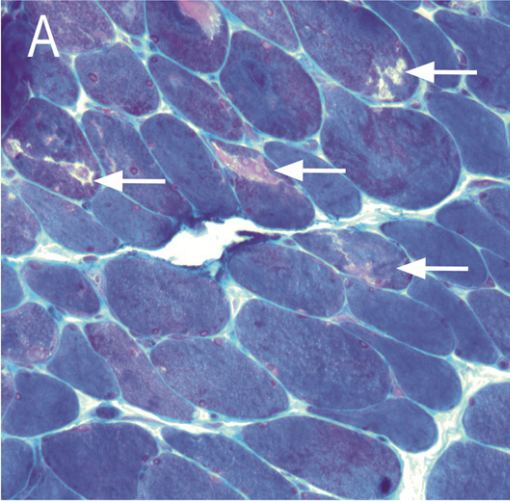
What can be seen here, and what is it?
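Skeletal muscle in cross section; polygonal to oval muscle fibres of varied size packed in a fascicle, separated by thin pale blue-green endomysium. Nuclei are small and lie at the fibre edges. Fibre cytoplasm stains a fairly even blue-purple. Several fibres carry pale, irregular clear areas within their cytoplasm, punched-out vacuoles, some with faint pinkish rims. A narrow cleft opens in the connective tissue near the centre.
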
